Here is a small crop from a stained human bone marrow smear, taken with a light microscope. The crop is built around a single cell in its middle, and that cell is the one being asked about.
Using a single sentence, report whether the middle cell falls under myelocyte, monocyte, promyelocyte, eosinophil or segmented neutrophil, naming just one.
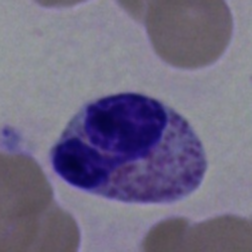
The central cell shown in this smear crop is an eosinophil.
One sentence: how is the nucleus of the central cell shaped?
Two or more lobes make up the nucleus of this cell.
